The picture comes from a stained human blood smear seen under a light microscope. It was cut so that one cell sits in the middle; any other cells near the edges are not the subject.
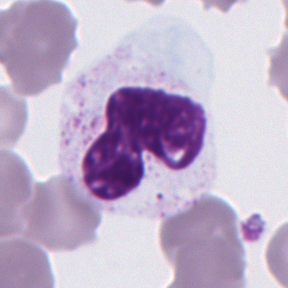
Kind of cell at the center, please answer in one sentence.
Centred in the crop is a segmented neutrophil.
